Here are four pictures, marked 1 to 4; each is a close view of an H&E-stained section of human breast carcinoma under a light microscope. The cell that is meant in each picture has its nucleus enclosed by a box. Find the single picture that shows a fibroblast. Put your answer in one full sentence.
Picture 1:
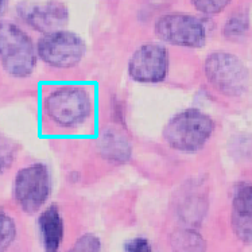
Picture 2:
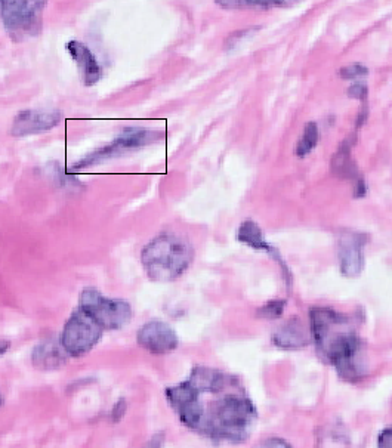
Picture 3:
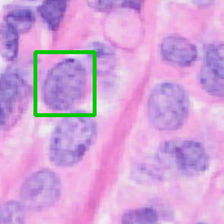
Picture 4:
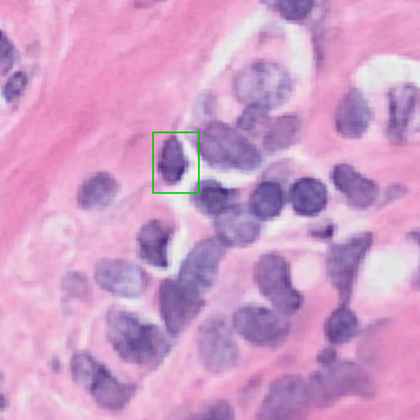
The picture with the fibroblast is 2.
